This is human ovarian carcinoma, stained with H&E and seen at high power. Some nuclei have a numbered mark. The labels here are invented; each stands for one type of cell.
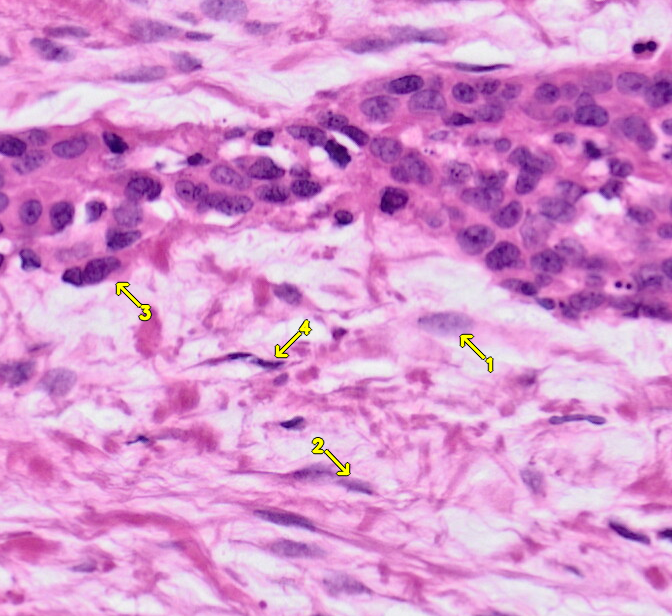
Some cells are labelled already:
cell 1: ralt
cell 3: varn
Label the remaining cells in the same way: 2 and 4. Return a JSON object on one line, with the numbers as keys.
{"2": "ralt", "4": "ralt"}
